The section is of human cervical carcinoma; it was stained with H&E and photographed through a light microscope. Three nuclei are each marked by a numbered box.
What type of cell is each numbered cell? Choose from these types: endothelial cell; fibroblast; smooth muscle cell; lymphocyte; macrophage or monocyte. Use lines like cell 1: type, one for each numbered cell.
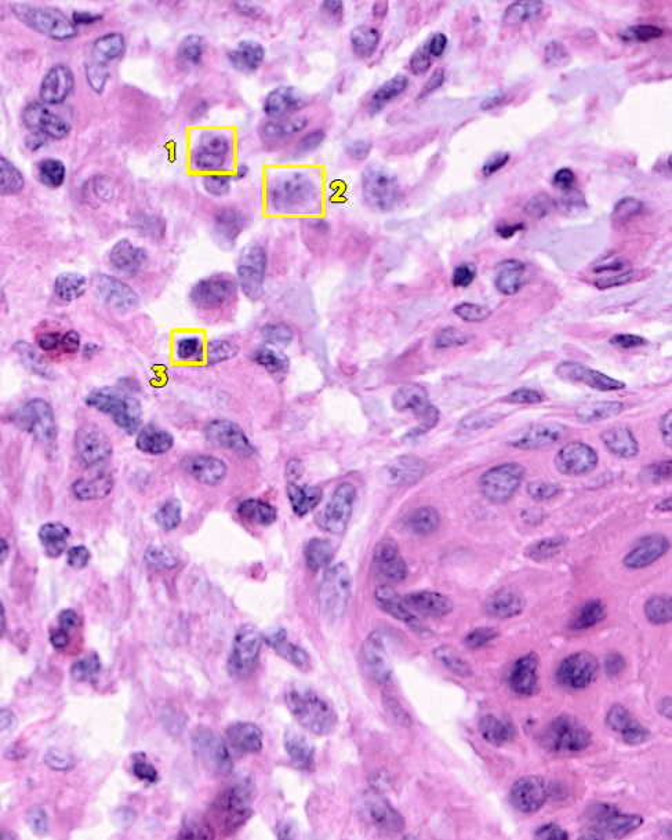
cell 1: macrophage or monocyte
cell 2: fibroblast
cell 3: lymphocyte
